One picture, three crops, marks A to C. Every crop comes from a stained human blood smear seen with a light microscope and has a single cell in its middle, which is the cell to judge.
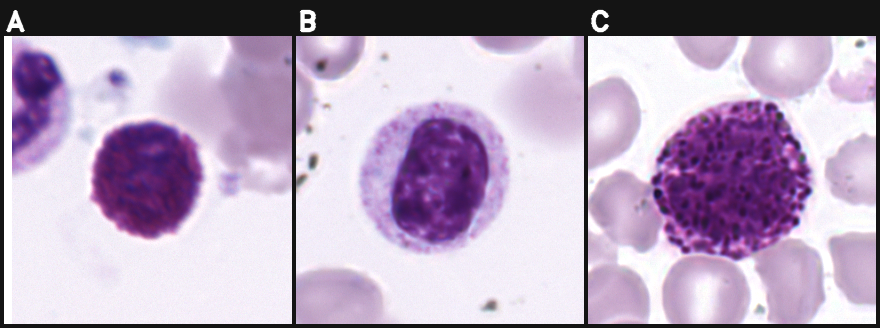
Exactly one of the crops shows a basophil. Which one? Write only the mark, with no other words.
C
